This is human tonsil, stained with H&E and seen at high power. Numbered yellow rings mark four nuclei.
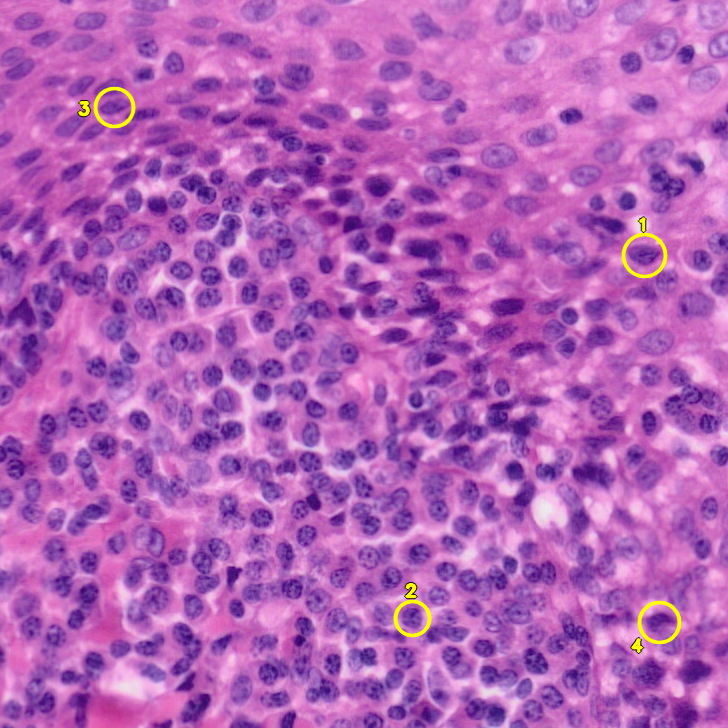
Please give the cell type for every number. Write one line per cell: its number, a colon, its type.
1: squamous epithelial cell
2: plasma cell
3: squamous epithelial cell
4: squamous epithelial cell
